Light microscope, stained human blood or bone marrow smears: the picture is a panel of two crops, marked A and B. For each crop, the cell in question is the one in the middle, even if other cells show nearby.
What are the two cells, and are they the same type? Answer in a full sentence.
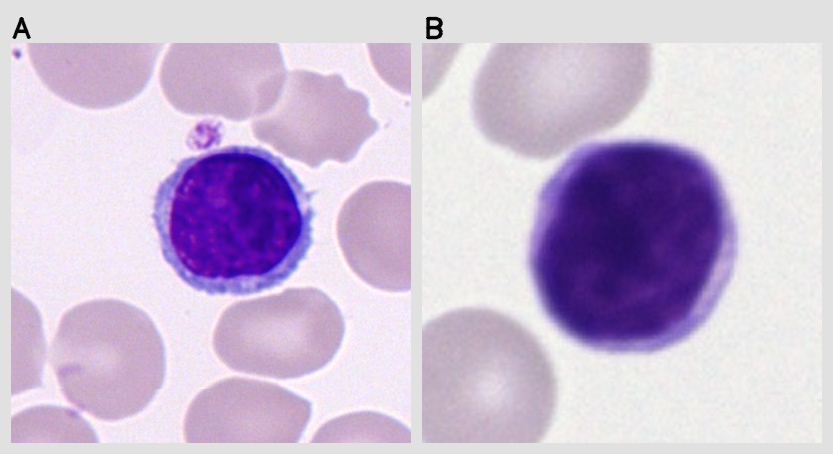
Yes, both crops here show lymphocytes, the pair of them.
